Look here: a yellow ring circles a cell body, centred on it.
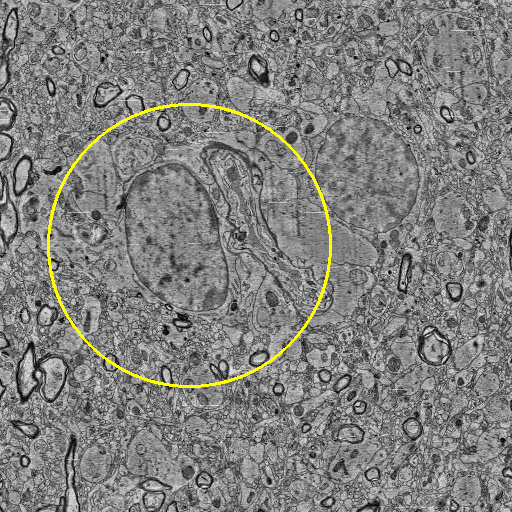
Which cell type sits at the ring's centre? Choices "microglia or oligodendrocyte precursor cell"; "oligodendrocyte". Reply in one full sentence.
The cell at the centre of the yellow ring in the picture is a microglial cell or oligodendrocyte precursor cell.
